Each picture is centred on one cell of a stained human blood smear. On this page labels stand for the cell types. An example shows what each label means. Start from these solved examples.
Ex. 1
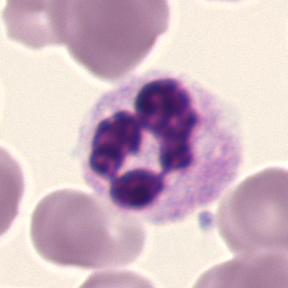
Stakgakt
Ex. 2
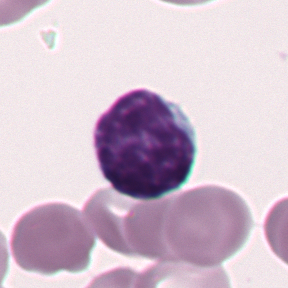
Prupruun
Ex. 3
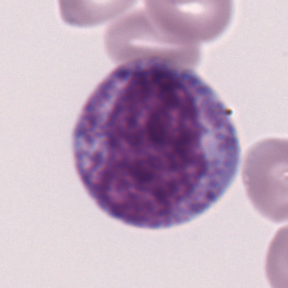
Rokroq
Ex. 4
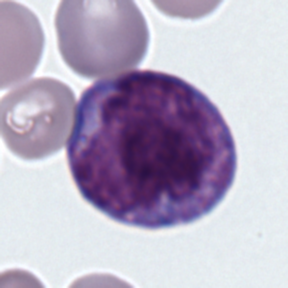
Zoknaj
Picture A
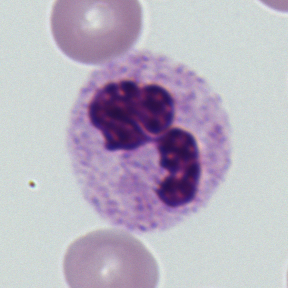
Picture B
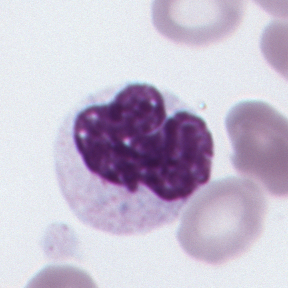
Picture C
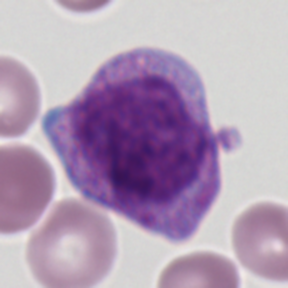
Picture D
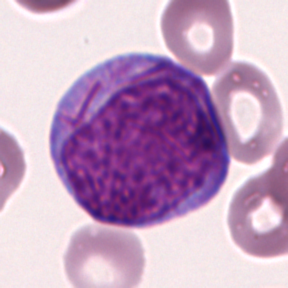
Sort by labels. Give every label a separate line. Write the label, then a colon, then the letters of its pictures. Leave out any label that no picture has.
Stakgakt: A, B
Zoknaj: C, D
